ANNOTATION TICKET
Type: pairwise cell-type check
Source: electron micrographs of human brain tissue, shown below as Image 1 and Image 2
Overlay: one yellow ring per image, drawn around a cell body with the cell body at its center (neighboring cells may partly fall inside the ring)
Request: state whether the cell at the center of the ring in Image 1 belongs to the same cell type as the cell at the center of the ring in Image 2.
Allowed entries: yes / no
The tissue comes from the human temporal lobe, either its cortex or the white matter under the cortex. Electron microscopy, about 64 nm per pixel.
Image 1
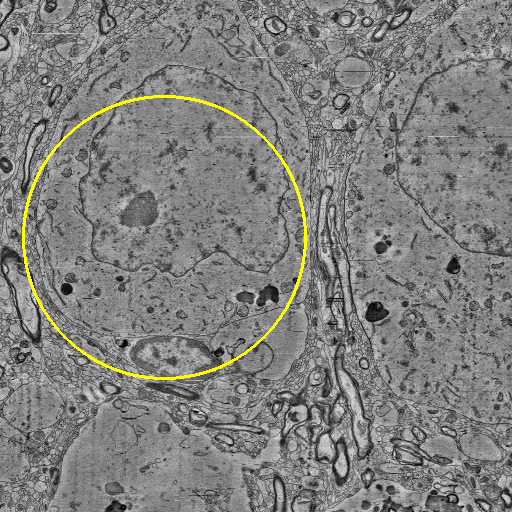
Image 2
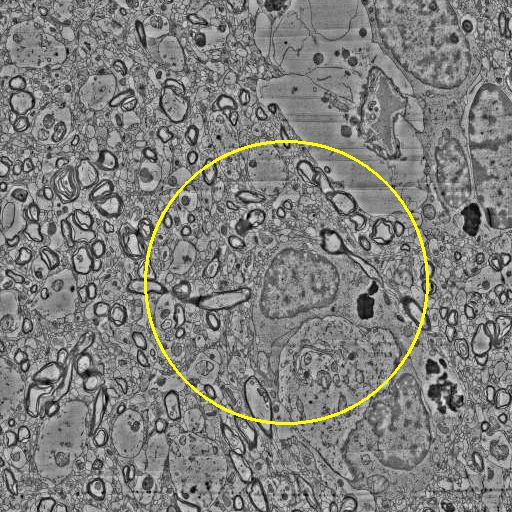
no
